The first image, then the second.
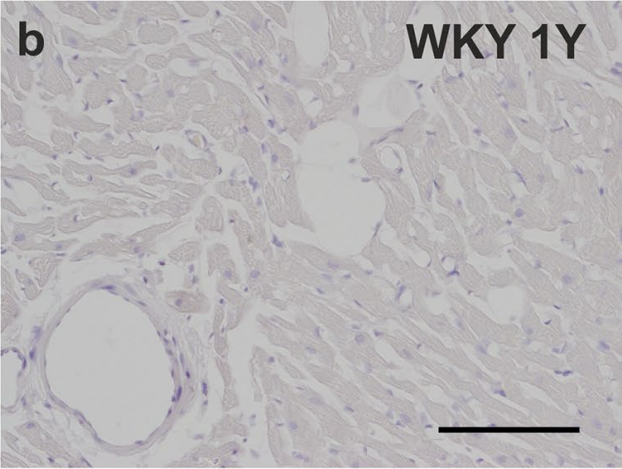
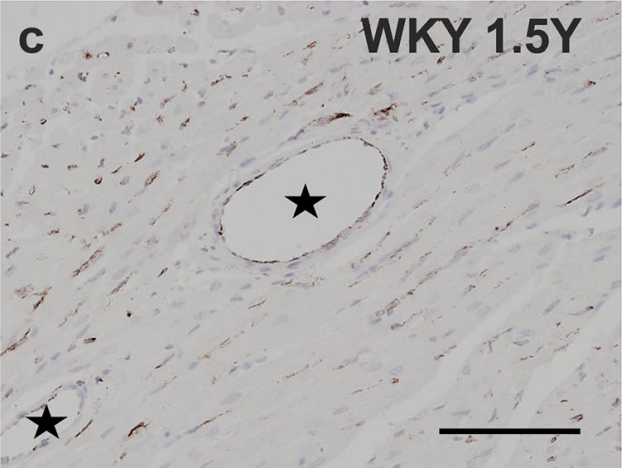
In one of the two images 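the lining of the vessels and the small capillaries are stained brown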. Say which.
The second image.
